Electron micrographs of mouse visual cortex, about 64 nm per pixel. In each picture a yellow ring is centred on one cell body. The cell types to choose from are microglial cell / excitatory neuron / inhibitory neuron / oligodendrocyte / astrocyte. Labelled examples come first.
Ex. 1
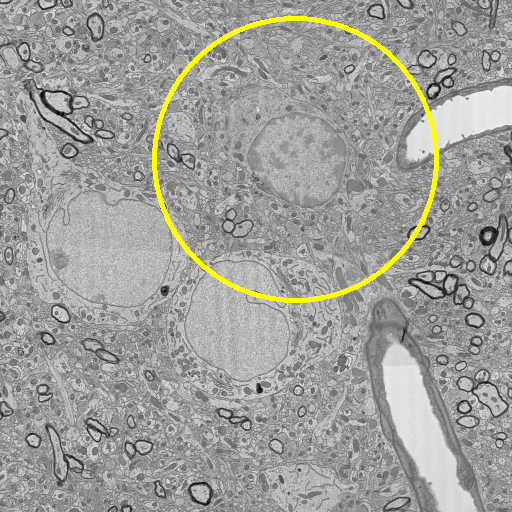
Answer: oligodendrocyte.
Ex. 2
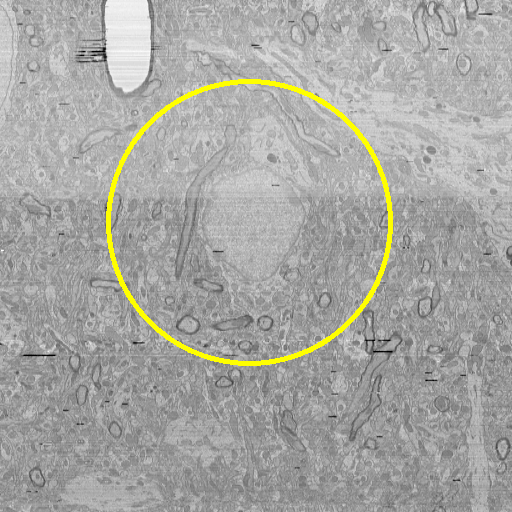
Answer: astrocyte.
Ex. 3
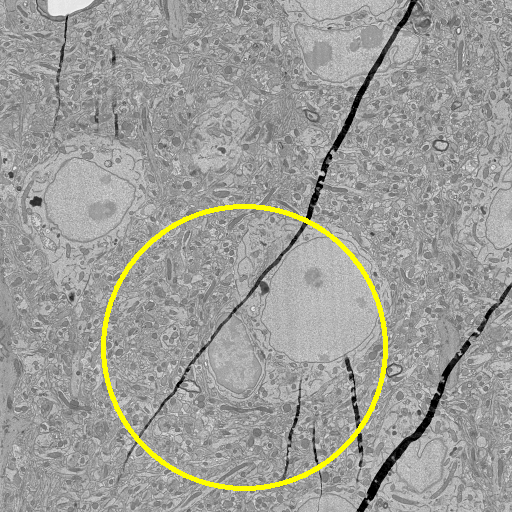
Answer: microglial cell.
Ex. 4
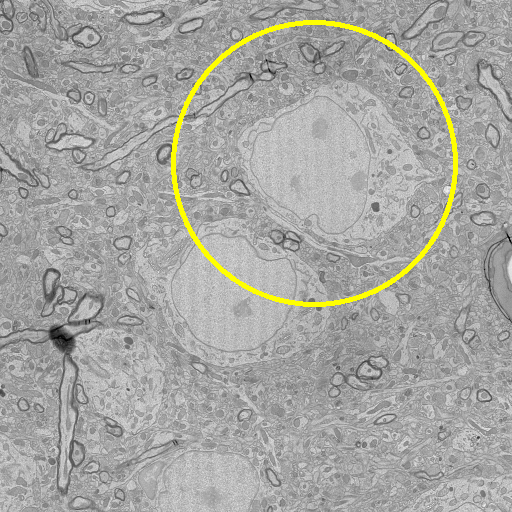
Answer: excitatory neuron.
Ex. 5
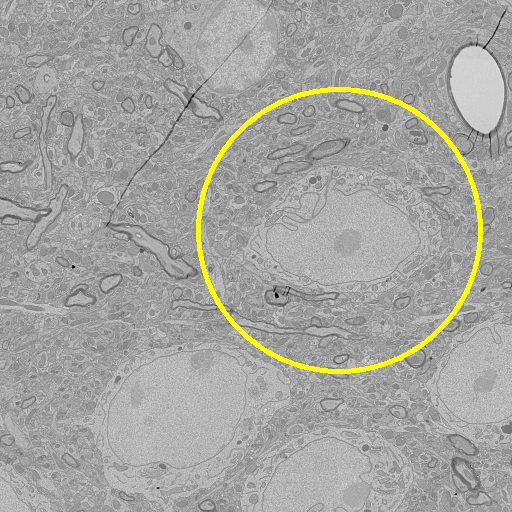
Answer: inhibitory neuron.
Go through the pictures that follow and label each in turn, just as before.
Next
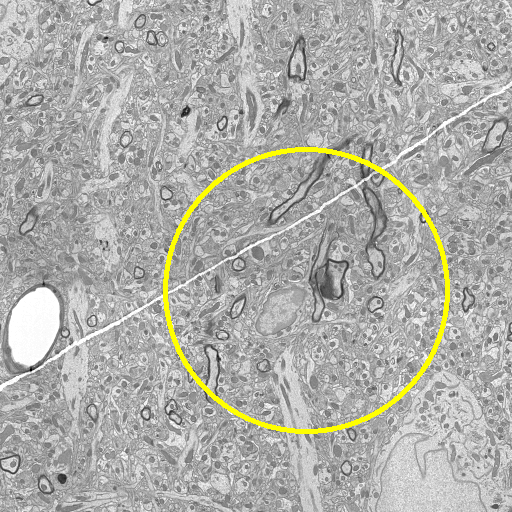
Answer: microglial cell.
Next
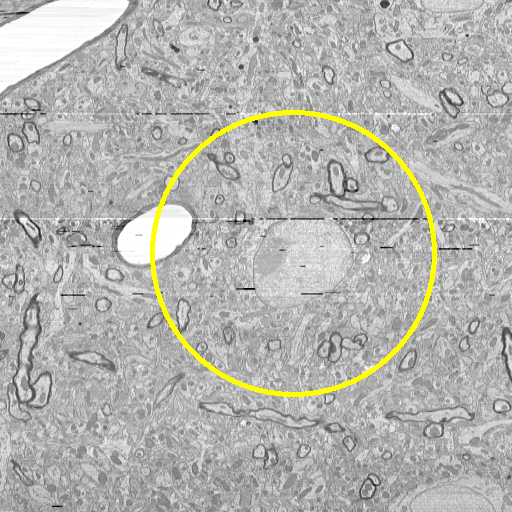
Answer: astrocyte.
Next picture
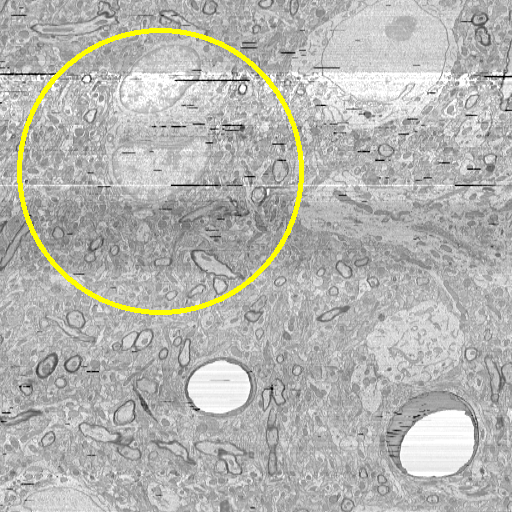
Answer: oligodendrocyte.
